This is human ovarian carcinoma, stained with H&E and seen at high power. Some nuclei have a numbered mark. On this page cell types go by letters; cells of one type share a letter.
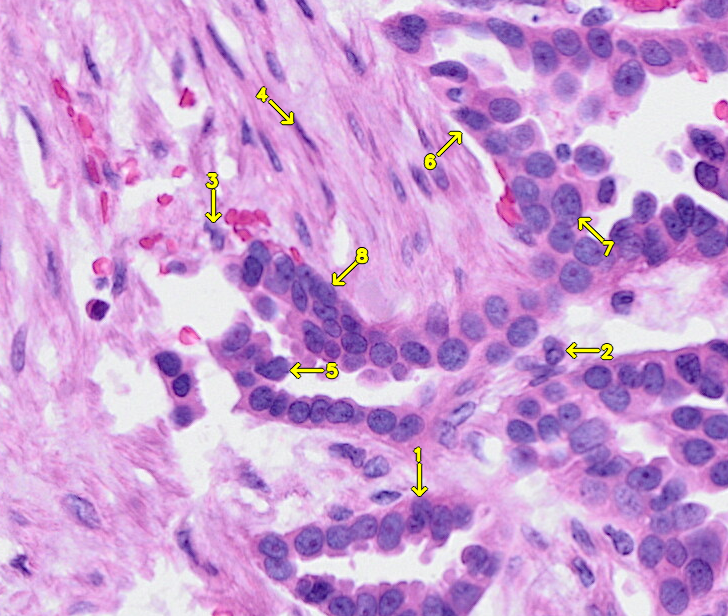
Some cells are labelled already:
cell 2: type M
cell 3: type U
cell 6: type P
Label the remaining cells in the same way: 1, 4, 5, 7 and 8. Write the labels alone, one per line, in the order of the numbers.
type P
type U
type P
type P
type P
